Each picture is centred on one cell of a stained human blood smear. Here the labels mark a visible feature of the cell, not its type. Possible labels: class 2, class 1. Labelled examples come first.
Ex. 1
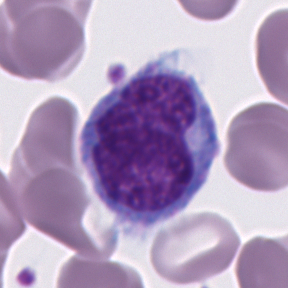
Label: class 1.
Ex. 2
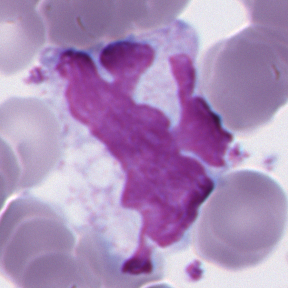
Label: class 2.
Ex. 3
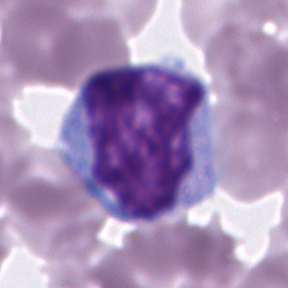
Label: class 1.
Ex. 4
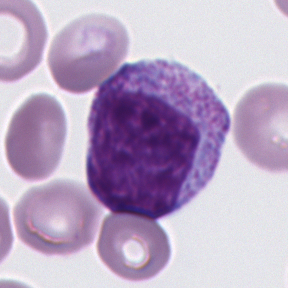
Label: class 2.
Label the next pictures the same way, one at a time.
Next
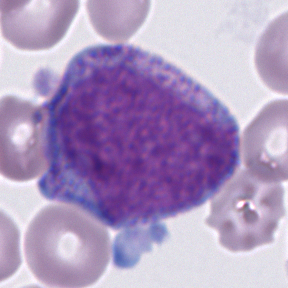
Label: class 1.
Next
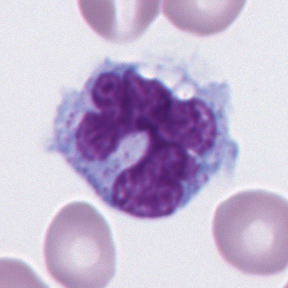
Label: class 2.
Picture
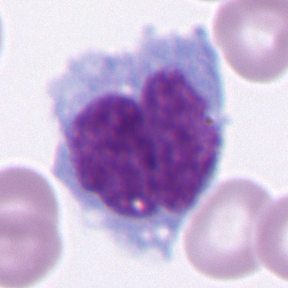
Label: class 1.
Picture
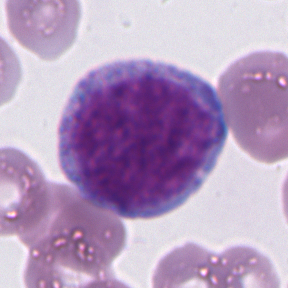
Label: class 1.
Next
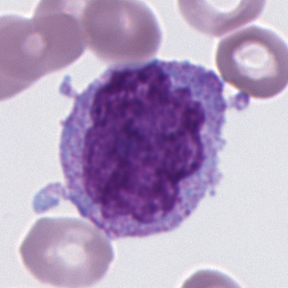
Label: class 2.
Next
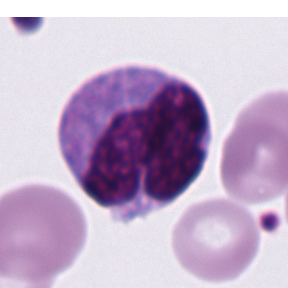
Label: class 2.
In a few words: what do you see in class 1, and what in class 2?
class 1, no visible granules; class 2, many visible granules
